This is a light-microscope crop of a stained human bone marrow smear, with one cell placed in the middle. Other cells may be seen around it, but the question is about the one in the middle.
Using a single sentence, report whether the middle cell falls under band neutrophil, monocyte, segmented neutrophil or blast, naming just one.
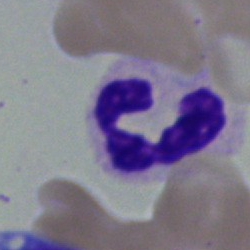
Here the centrally located cell is a segmented neutrophil.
